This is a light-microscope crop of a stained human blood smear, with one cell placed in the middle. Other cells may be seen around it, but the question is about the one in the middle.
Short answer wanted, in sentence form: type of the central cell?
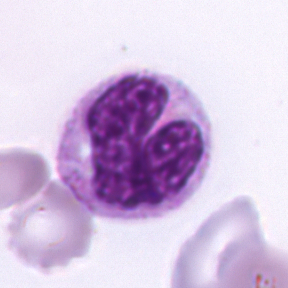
The cell of interest, in the center, is a band neutrophil.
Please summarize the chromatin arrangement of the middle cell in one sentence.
The chromatin is fine throughout, without coarse clumps.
